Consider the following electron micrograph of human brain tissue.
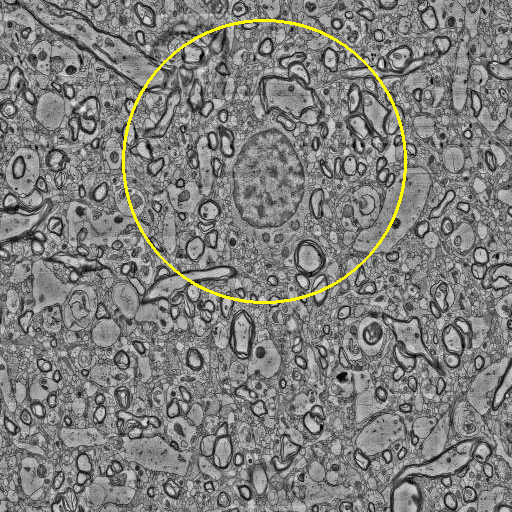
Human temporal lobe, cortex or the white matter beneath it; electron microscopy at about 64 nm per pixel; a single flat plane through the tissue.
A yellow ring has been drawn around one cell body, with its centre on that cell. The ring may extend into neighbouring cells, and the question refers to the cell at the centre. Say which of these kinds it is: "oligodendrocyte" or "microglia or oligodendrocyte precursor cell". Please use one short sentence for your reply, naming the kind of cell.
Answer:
The centre of the ring falls on an oligodendrocyte.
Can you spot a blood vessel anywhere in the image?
No, a blood vessel is absent from this picture.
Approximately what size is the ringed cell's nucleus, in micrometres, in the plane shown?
In this plane, the nucleus of the cell at the centre of the ring measures about 6 by 5 micrometres.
